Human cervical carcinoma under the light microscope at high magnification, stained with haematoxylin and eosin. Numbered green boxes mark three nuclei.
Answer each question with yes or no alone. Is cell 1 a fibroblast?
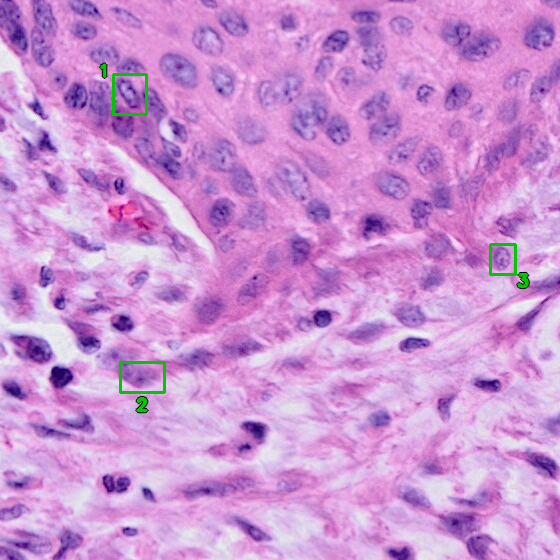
no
